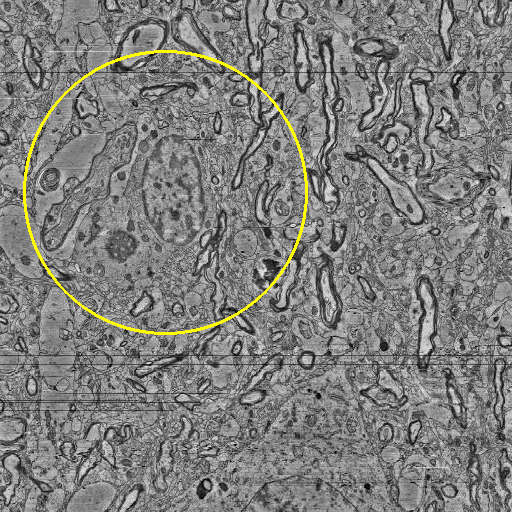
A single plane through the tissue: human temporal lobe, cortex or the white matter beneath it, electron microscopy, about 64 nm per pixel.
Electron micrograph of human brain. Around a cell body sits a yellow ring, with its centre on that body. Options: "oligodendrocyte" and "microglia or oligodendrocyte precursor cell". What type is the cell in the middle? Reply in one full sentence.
The cell sitting at the centre of the yellow ring is an oligodendrocyte.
